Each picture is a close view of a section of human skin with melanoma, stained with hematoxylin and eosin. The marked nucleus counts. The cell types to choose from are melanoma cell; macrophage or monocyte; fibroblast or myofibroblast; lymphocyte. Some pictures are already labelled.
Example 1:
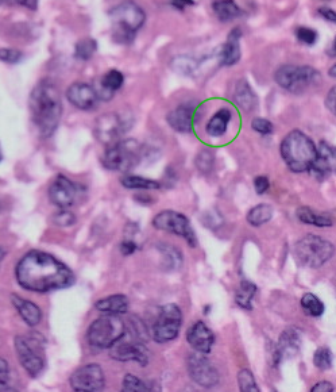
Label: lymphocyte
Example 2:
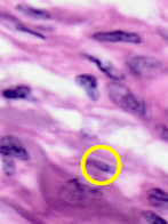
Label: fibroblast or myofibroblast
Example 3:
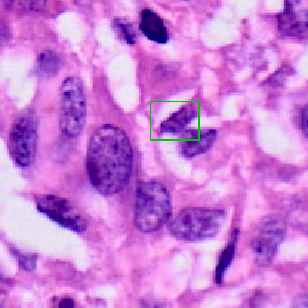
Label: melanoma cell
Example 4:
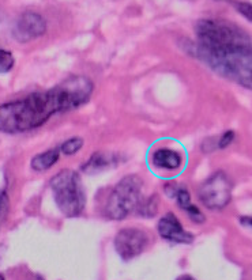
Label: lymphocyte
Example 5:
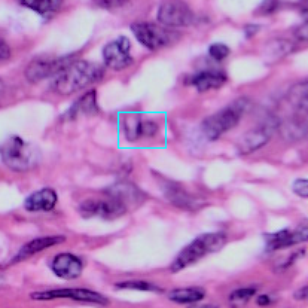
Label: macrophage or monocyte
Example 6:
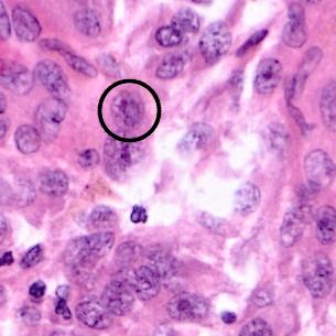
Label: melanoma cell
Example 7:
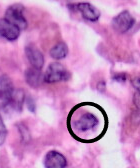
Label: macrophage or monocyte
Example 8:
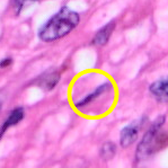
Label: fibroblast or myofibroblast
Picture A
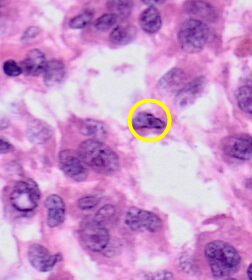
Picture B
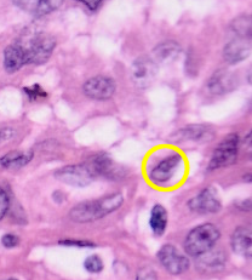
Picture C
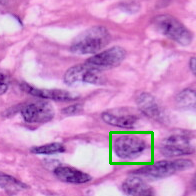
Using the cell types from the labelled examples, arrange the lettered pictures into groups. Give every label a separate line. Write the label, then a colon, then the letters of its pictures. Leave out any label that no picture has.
melanoma cell: C
macrophage or monocyte: A, B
